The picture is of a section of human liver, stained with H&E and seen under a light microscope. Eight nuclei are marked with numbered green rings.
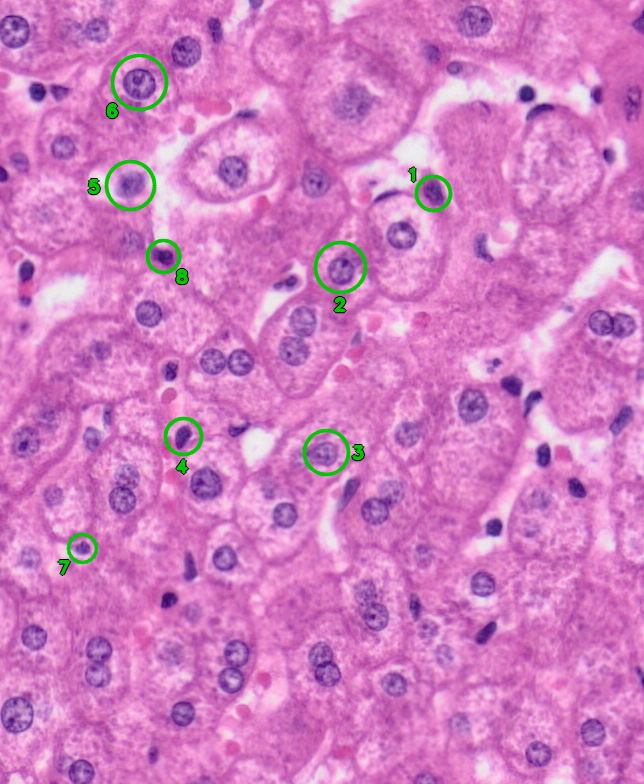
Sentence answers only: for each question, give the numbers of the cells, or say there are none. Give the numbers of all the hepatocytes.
By cell type, the cells numbered 2, 3 and 6 are hepatocytes.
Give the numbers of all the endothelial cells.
Nothing but cell 5 is an endothelial cell among the numbered ones.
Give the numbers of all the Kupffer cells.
Across all the numbered cells, only number 1 is a Kupffer cell.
